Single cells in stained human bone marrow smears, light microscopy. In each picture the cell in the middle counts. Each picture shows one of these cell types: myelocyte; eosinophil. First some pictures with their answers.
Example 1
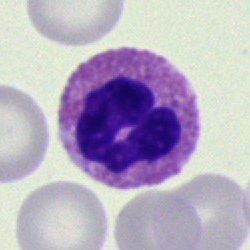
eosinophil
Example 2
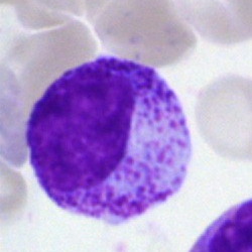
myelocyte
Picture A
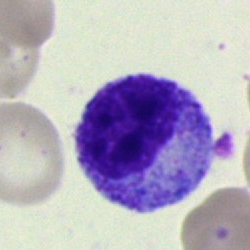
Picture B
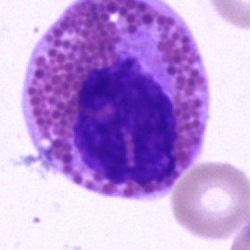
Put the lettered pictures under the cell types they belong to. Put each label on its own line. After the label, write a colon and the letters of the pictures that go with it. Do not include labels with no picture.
myelocyte: A
eosinophil: B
